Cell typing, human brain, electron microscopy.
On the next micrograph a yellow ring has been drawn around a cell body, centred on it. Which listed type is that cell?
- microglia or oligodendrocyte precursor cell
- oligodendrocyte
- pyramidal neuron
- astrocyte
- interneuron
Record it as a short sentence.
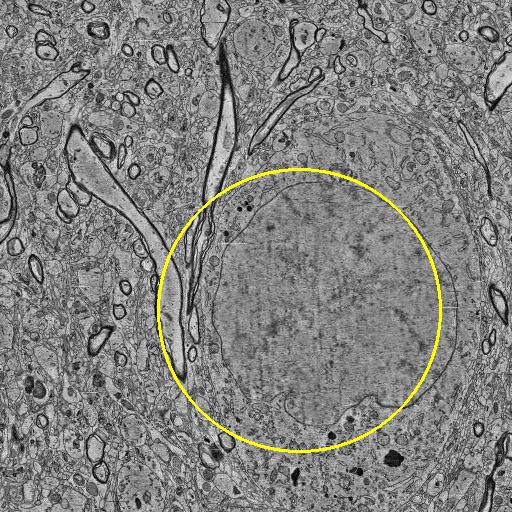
The cell body in the ring's centre belongs to a pyramidal neuron.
